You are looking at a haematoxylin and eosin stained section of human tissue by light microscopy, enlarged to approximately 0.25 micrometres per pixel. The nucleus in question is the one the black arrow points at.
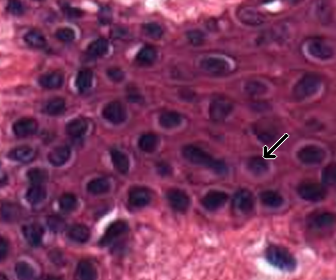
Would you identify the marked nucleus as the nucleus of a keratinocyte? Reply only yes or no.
yes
